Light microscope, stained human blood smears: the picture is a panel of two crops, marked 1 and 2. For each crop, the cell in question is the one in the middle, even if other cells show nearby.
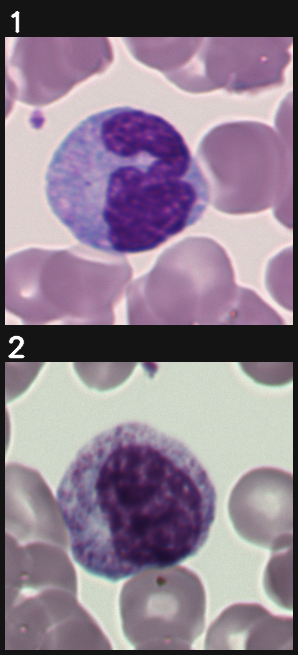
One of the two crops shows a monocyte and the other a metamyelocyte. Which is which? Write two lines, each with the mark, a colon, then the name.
1: monocyte
2: metamyelocyte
